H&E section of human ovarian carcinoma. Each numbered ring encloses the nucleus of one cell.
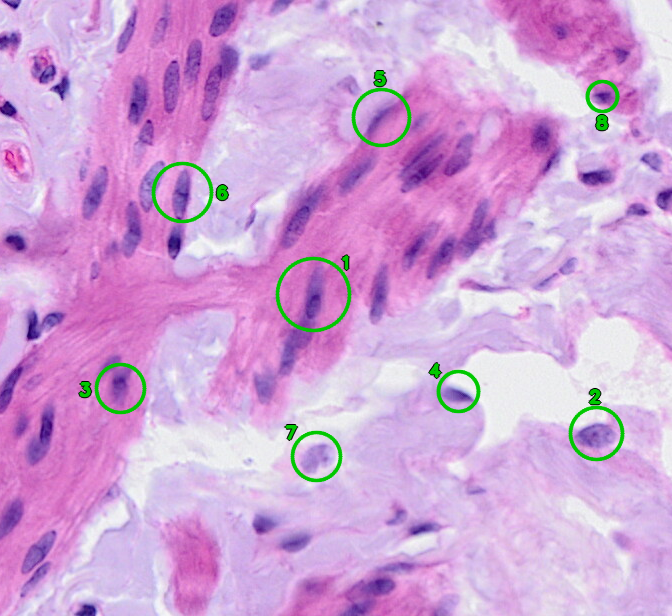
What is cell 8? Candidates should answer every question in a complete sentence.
Classified as a smooth muscle cell is the cell with the number 8.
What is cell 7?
Of the numbered cells, the one labelled 7 is a fibroblast.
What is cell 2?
The label 2 in this section denotes an endothelial cell.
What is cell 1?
Here the cell numbered 1 is a smooth muscle cell.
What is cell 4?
Cell number 4 in this section is an endothelial cell.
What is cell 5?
The cell referenced by the number 5 is a smooth muscle cell in this field.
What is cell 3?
Heads up, the cell numbered 3 is a smooth muscle cell.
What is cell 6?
Corresponding to a smooth muscle cell is the cell labelled 6.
